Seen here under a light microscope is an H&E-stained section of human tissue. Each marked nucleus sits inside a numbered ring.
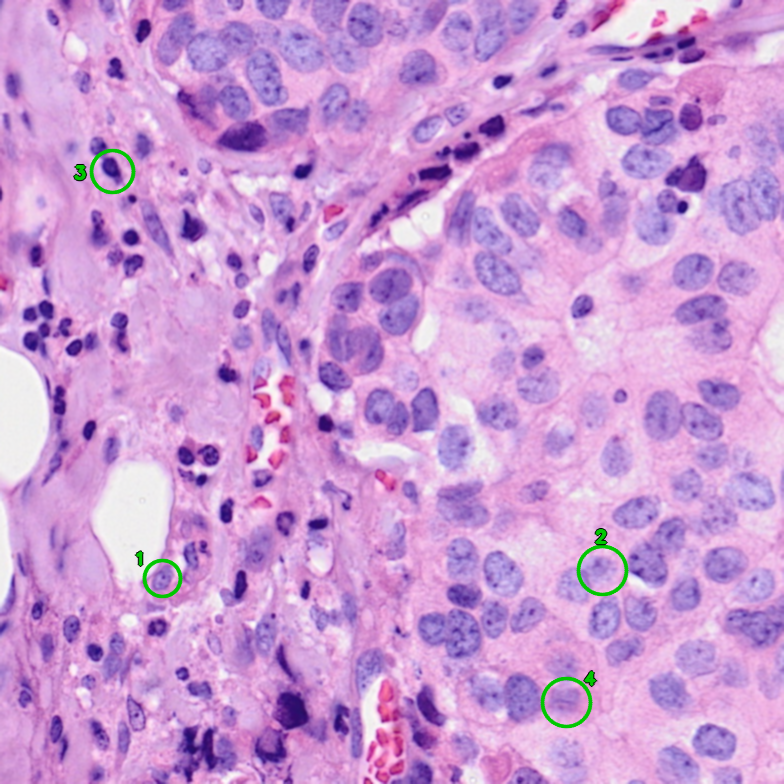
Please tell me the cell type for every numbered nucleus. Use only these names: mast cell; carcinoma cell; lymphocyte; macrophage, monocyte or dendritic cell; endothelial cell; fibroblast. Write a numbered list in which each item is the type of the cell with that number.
1. endothelial cell
2. carcinoma cell
3. lymphocyte
4. carcinoma cell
